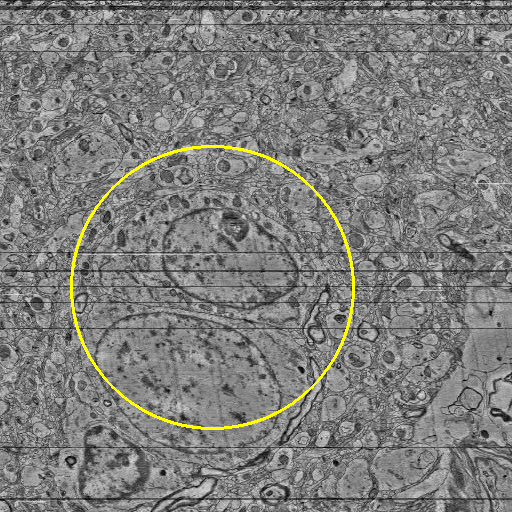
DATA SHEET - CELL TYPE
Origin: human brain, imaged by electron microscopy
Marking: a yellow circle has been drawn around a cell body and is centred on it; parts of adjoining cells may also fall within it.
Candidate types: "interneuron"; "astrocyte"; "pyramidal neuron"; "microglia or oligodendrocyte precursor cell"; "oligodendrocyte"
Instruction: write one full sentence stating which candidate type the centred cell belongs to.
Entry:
The cell body at the centre of the yellow ring in this micrograph belongs to a pyramidal neuron.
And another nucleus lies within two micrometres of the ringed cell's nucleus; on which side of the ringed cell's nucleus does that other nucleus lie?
That other nucleus appears below it.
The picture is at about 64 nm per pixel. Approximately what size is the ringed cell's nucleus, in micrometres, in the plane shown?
The nucleus measures about 9 by 6 micrometres in this plane.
